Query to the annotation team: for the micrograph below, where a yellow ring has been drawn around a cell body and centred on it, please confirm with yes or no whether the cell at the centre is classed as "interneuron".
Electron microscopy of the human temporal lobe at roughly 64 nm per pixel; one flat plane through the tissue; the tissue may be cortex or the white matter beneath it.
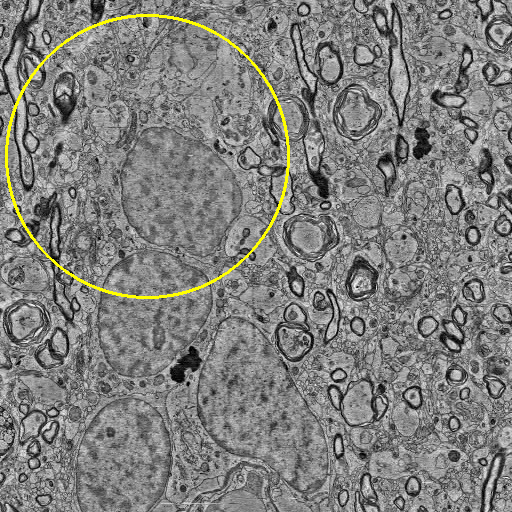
No, it belongs to another class.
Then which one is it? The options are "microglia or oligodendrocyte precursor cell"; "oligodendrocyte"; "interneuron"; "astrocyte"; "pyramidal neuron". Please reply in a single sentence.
The ring holds an oligodendrocyte at its centre.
